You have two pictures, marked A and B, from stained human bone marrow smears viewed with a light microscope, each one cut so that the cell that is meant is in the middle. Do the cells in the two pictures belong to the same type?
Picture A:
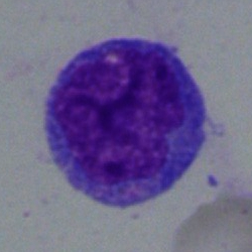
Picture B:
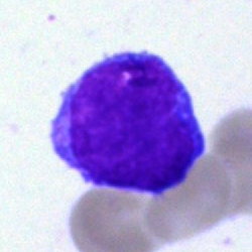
yes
